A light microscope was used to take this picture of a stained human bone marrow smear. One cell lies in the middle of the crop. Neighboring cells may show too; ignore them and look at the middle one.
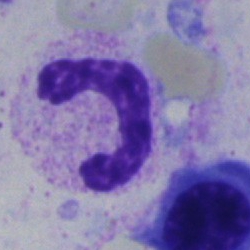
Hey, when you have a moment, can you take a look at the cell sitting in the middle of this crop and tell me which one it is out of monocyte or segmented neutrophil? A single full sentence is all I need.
The cell in the middle of the field of view is a segmented neutrophil.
